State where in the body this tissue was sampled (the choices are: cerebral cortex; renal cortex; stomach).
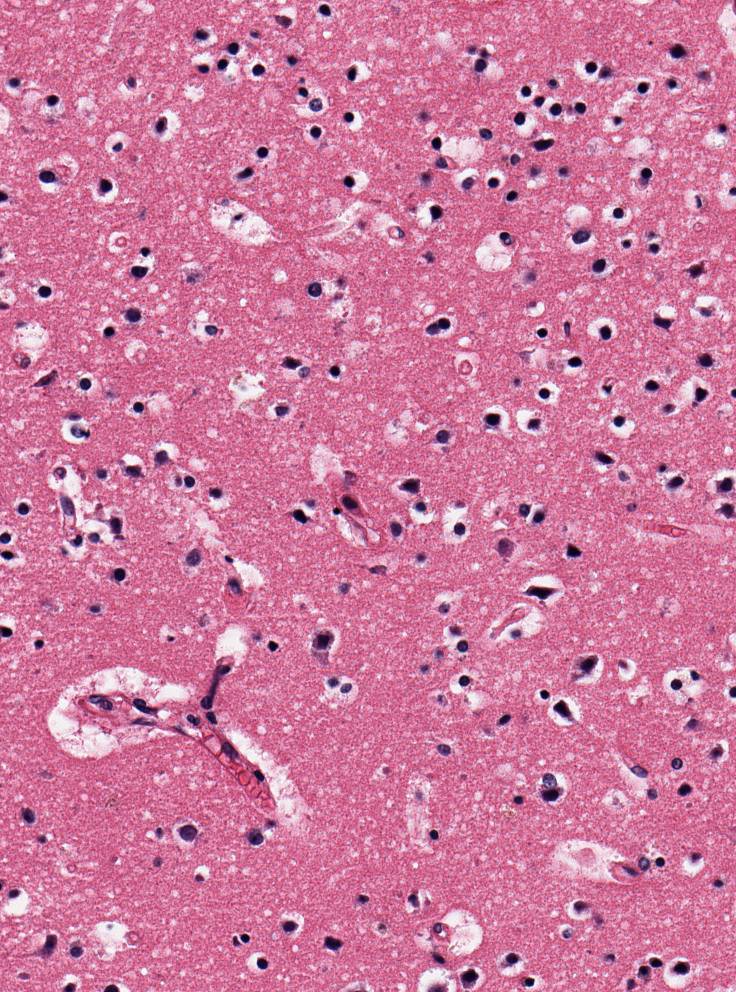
cerebral cortex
